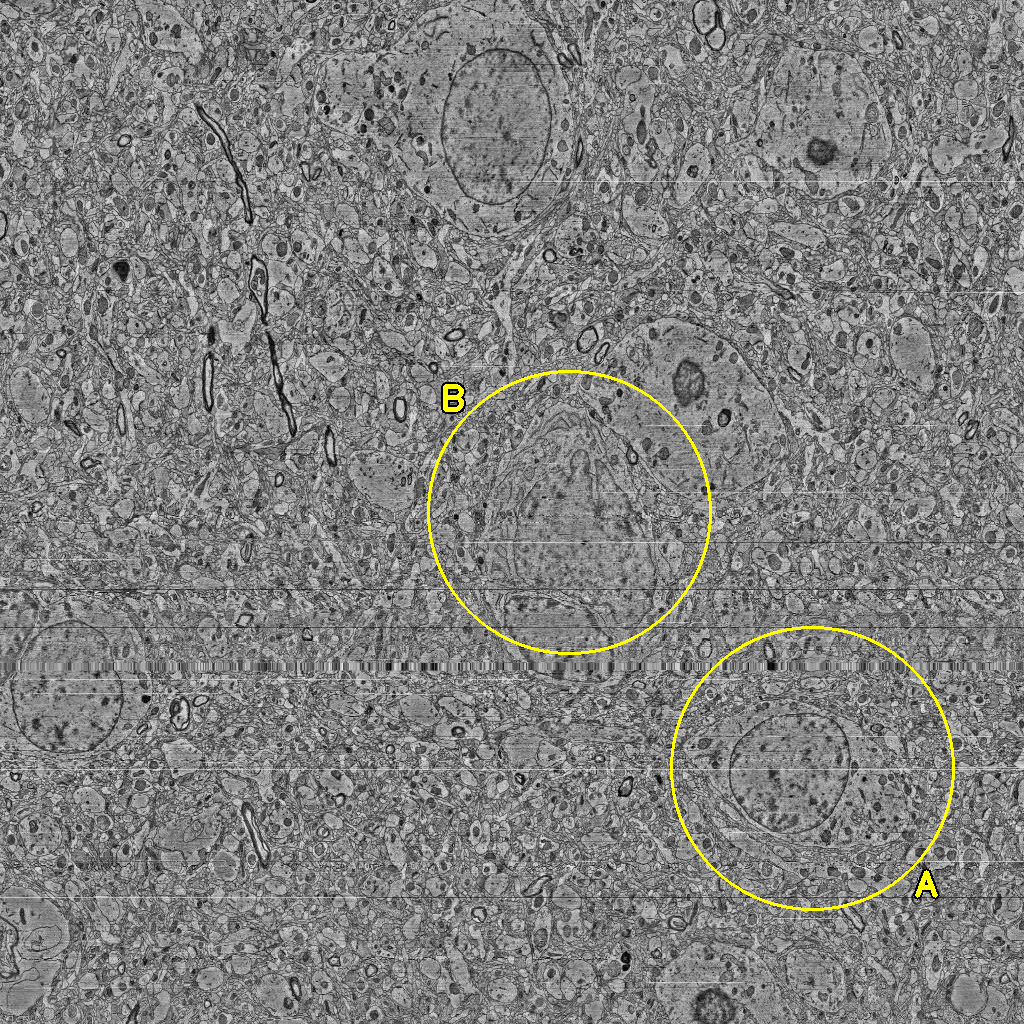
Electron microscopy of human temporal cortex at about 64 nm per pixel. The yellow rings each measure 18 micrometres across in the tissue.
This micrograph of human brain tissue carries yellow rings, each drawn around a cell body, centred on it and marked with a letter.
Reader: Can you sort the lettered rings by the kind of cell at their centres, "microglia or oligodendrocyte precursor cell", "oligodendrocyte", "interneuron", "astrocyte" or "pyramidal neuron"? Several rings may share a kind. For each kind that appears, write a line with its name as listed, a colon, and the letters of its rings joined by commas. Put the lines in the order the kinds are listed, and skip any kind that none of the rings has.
interneuron: B
pyramidal neuron: A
